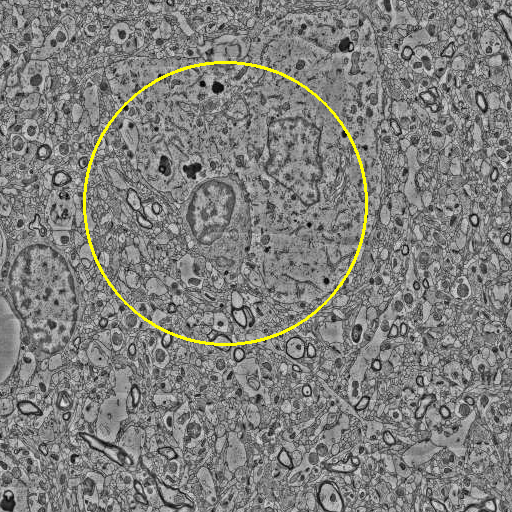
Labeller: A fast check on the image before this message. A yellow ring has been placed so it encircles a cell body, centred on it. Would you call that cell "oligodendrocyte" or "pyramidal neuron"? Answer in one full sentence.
In this image, an oligodendrocyte is the cell on which the yellow ring is centred.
